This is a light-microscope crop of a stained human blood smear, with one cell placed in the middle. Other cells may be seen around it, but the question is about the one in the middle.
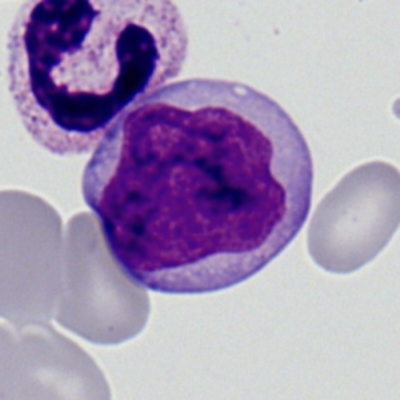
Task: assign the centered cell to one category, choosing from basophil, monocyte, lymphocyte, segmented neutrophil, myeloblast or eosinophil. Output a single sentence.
In the middle of this smear crop, the cell is a myeloblast.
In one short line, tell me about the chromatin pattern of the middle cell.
There is no coarse clumping; the chromatin stays fine throughout.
